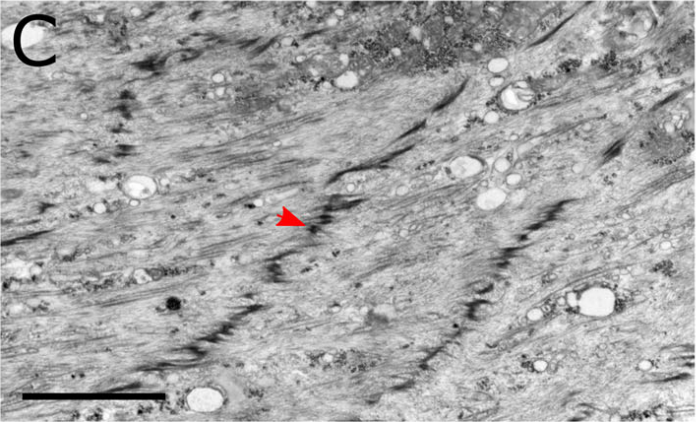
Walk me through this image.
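Striated muscle in which the filaments are paler and looser, and the dark Z-lines appear as short, irregular streaks rather than continuous, evenly spaced bands. Numerous round clear vacuoles, some holding membranous material, and scattered dark granules lie among the filaments.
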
